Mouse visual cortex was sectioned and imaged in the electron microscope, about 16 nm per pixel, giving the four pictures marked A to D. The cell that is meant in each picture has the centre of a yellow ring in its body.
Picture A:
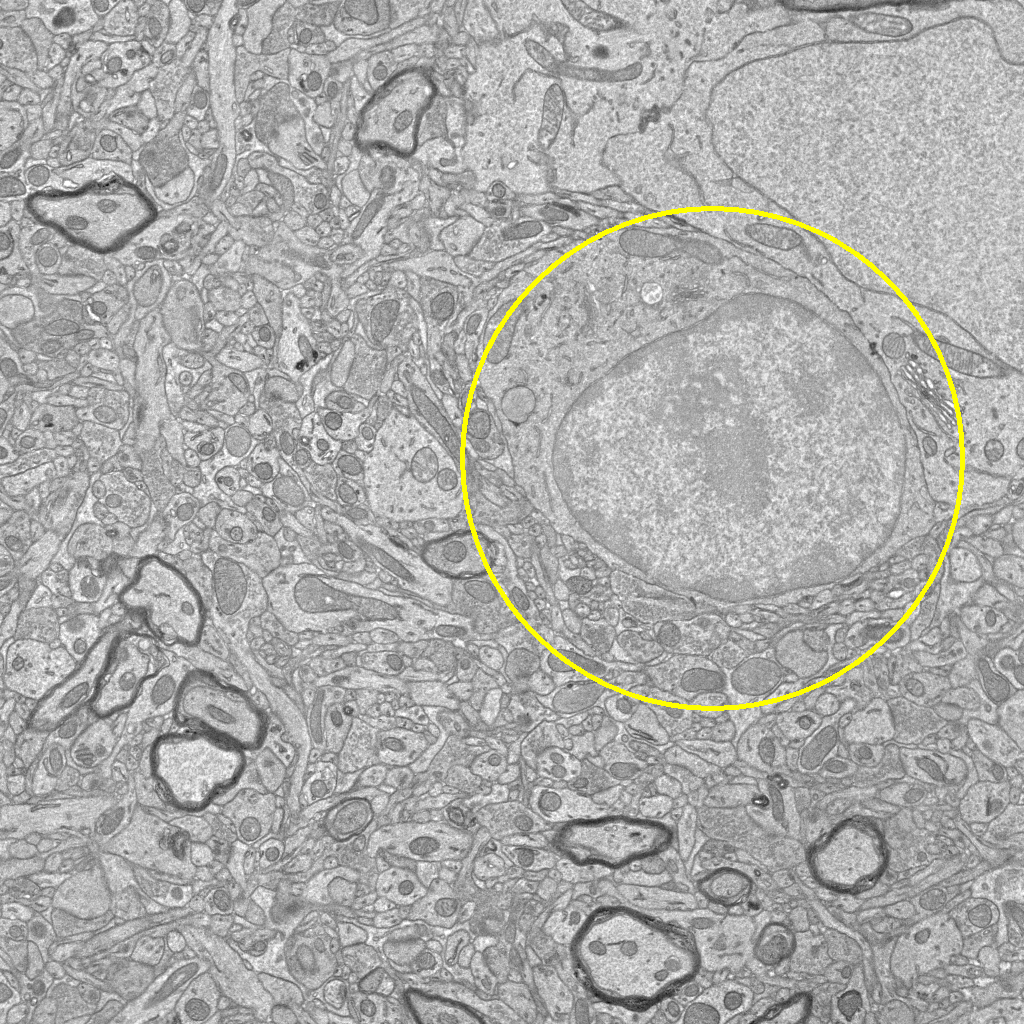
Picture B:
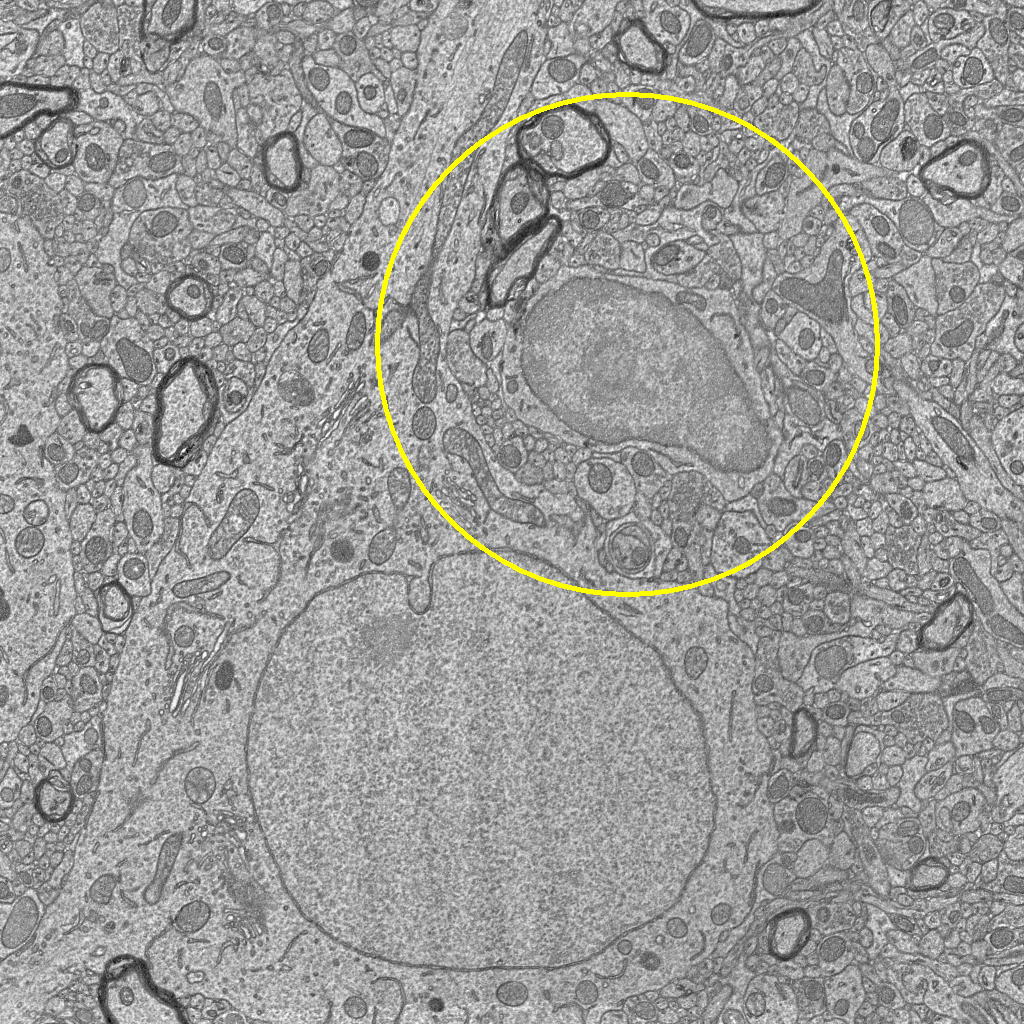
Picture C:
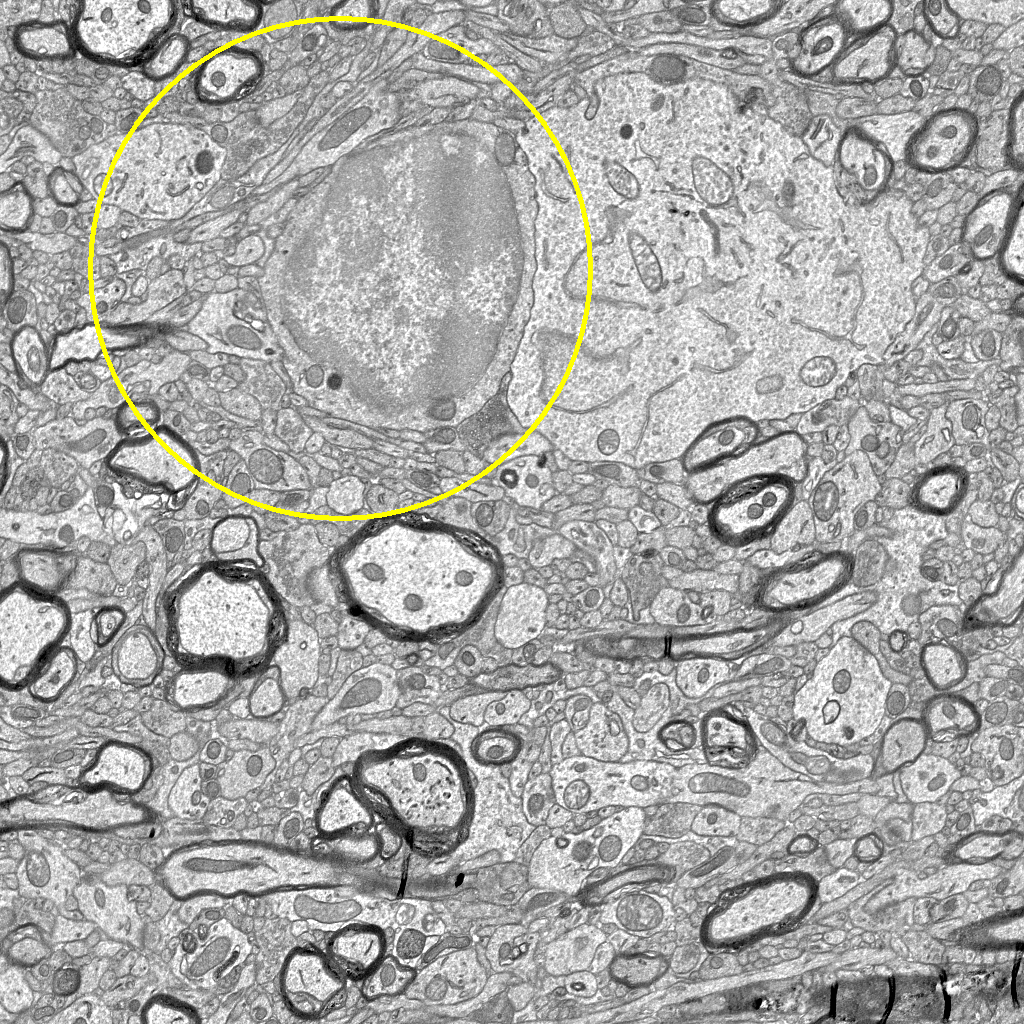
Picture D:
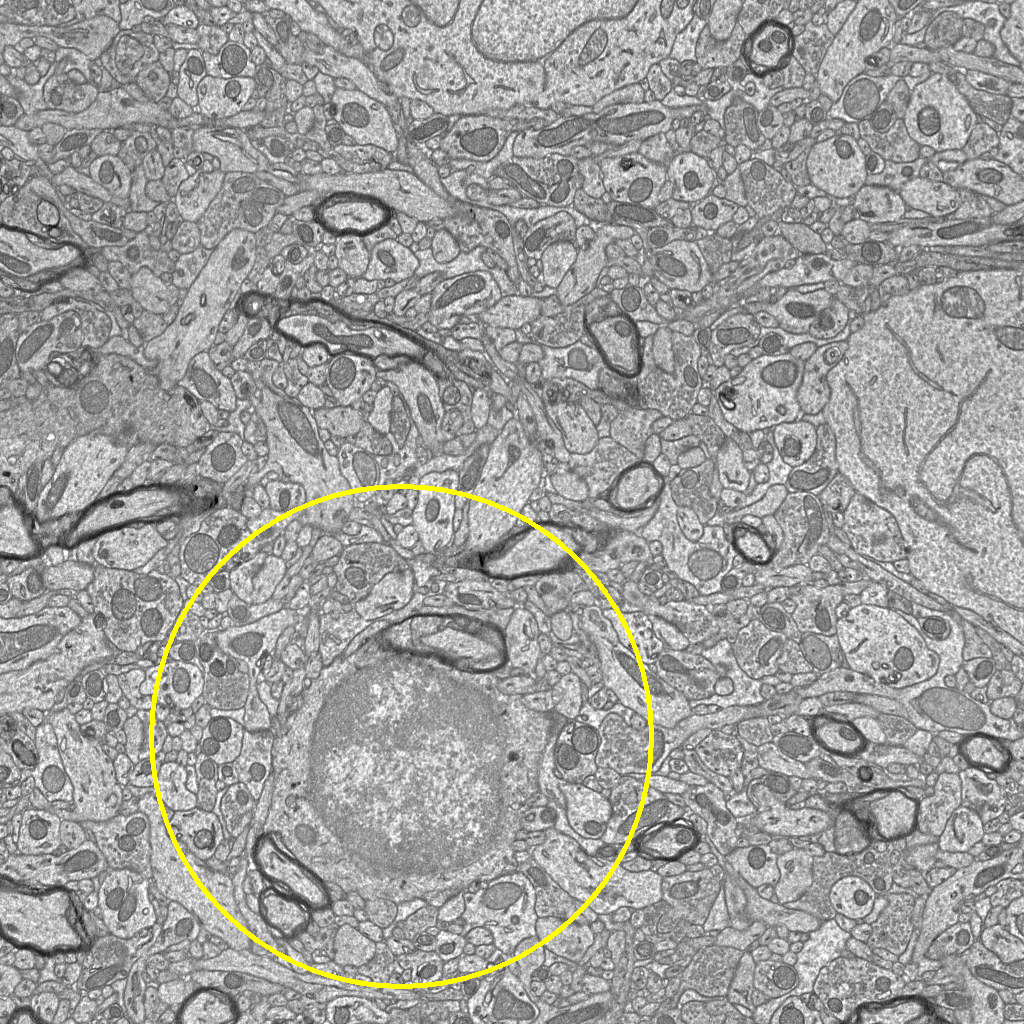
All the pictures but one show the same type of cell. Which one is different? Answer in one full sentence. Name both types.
The others show oligodendrocytes, but picture B shows a microglial cell.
